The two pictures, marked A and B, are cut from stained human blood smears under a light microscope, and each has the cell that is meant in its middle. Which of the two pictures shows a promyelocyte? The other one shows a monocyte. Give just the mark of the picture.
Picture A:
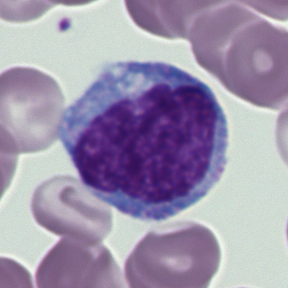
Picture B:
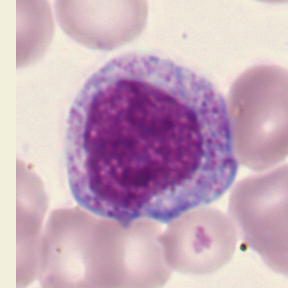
B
